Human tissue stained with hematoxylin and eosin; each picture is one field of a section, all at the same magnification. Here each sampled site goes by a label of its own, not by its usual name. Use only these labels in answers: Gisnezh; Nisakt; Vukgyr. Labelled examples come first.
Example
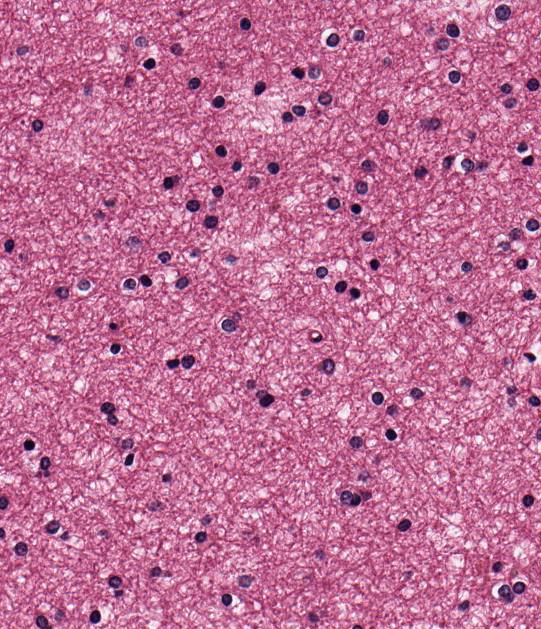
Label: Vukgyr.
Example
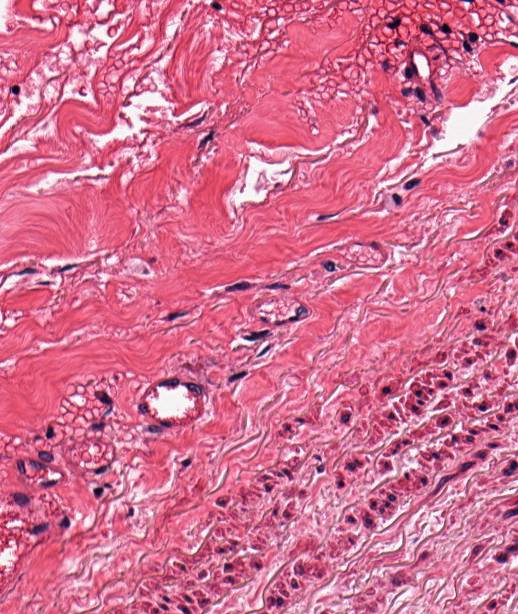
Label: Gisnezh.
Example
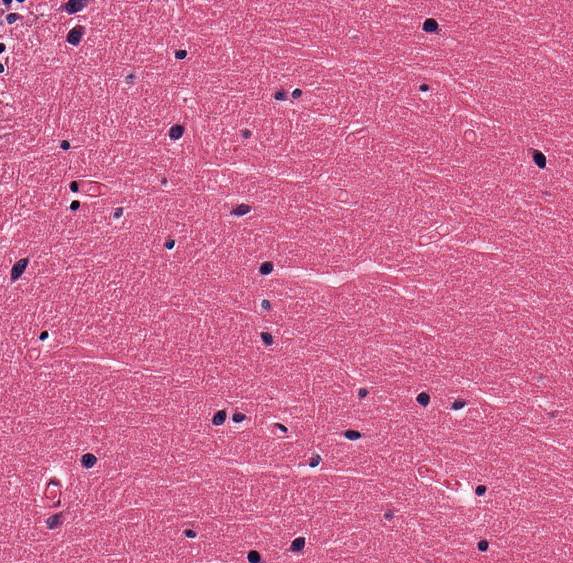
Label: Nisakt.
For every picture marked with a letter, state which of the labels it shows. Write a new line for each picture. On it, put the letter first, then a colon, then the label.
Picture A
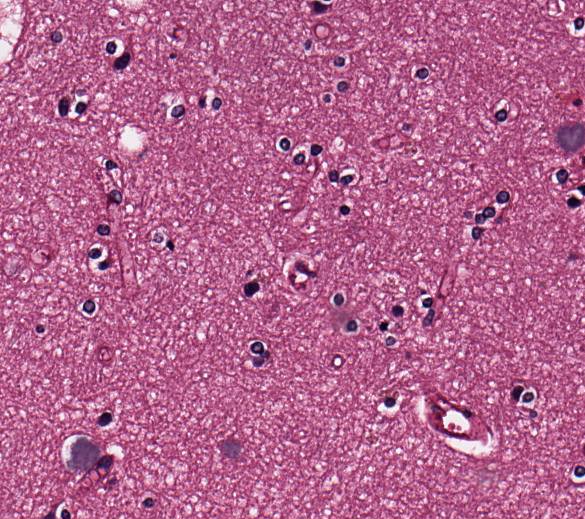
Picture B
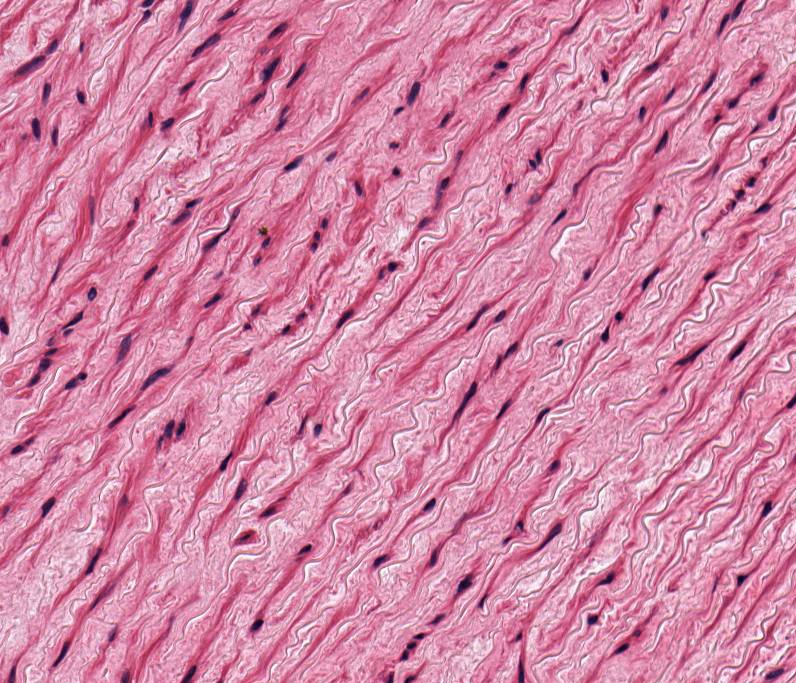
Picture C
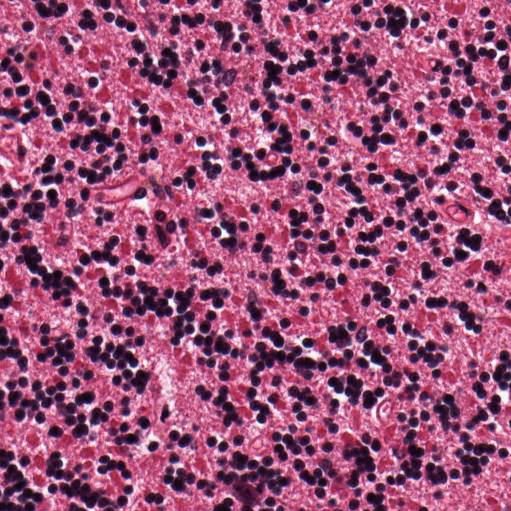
A: Vukgyr.
B: Gisnezh.
C: Nisakt.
